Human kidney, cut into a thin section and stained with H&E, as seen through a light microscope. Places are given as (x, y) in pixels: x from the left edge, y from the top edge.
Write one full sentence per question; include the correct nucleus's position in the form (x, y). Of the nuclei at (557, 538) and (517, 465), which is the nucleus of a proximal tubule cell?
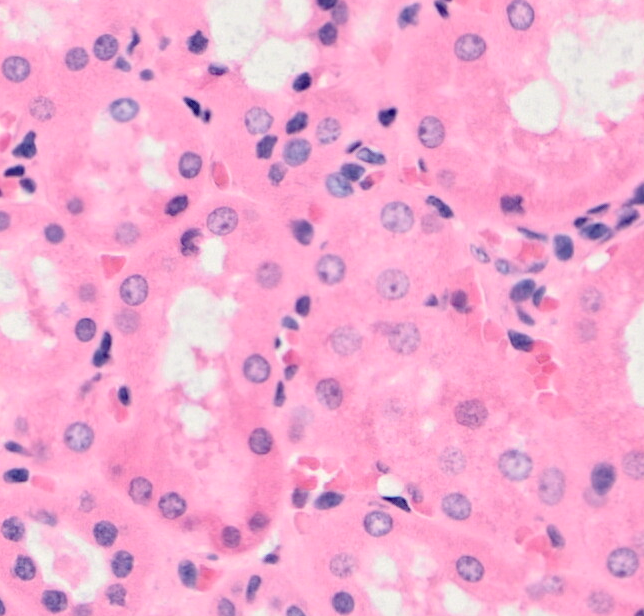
Of the two nuclei, the one sitting at (517, 465) belongs to a proximal tubule cell.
